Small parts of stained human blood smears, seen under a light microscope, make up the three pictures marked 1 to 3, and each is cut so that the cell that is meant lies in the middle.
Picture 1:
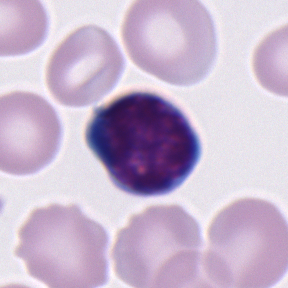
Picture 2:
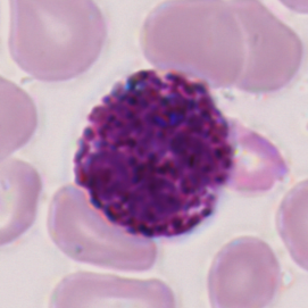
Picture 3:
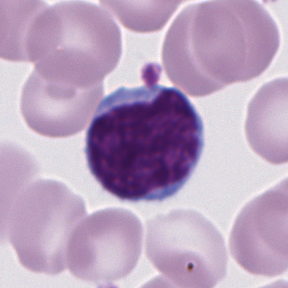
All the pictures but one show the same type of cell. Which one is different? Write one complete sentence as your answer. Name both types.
The different one is picture 2; it shows a basophil, whereas all the others show typical lymphocytes.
